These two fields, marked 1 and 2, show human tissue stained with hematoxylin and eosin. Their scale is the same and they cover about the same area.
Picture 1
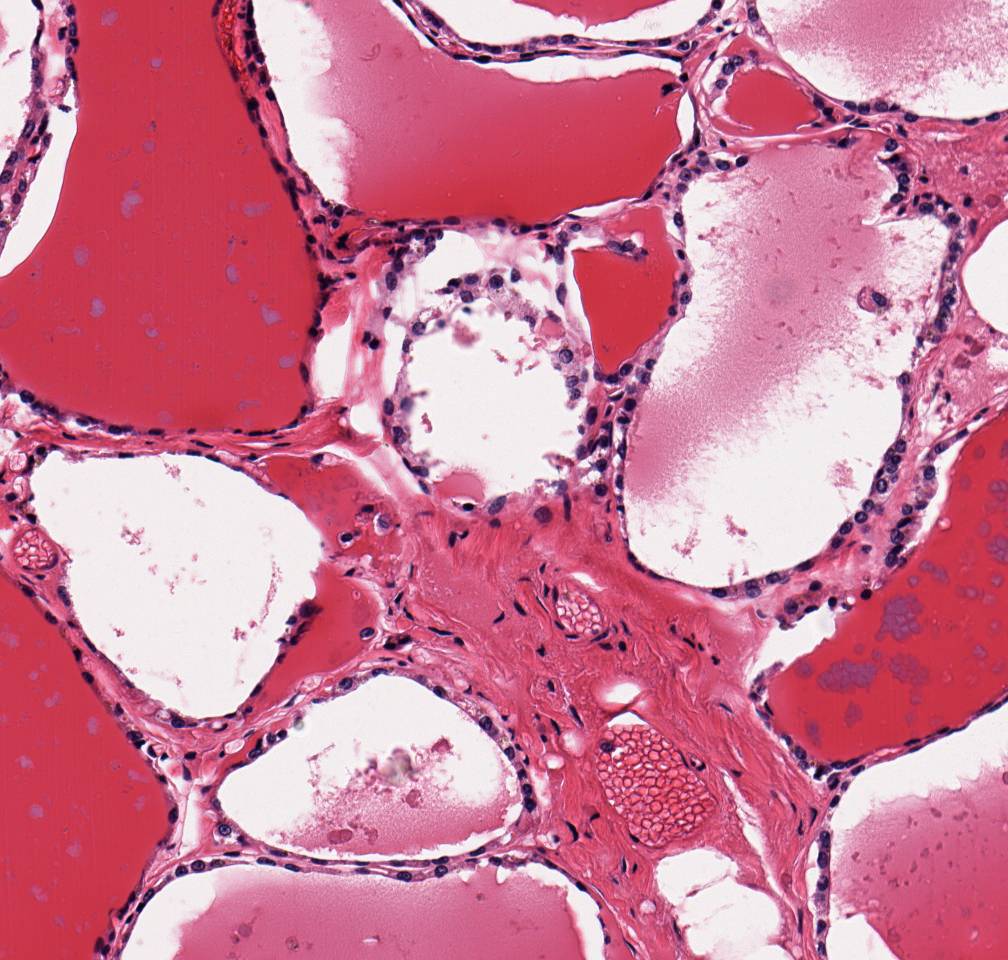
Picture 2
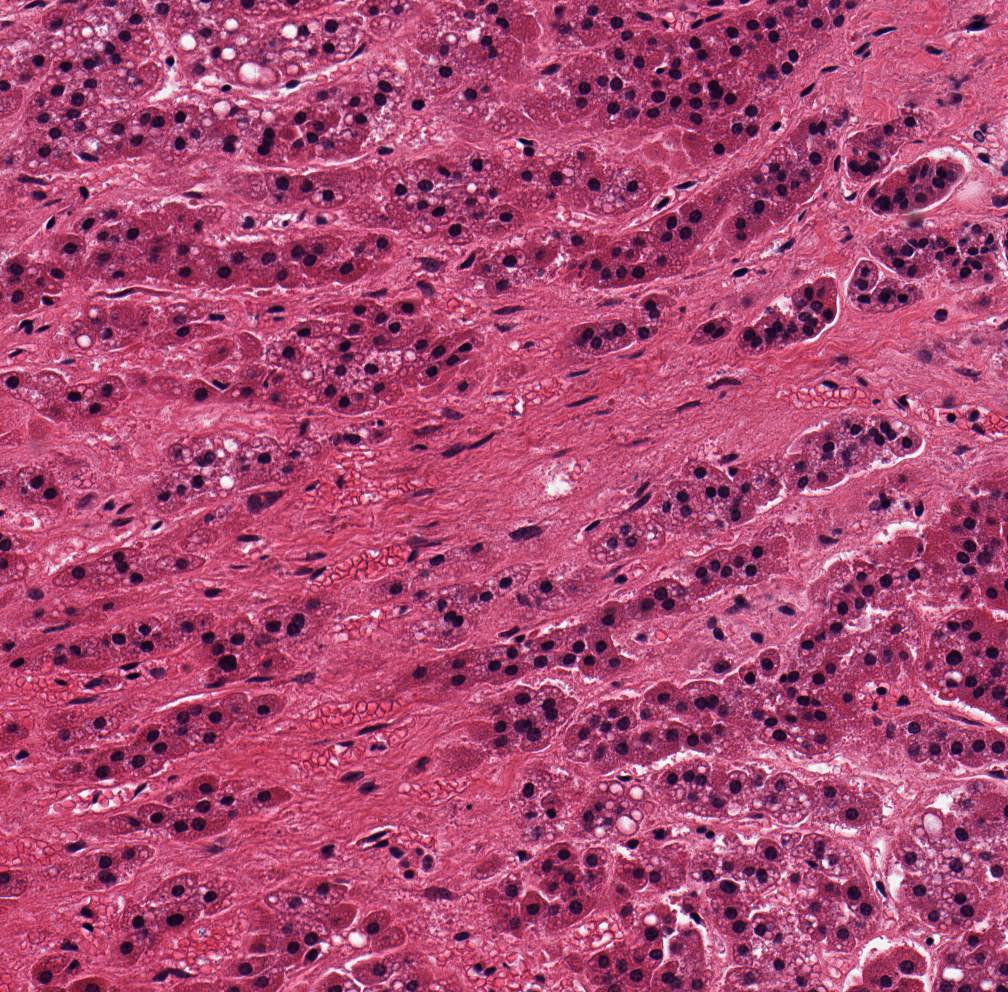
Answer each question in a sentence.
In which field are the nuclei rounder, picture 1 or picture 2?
The nuclei are rounder in picture 2.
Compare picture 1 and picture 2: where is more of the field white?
More of picture 1 is empty and white.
